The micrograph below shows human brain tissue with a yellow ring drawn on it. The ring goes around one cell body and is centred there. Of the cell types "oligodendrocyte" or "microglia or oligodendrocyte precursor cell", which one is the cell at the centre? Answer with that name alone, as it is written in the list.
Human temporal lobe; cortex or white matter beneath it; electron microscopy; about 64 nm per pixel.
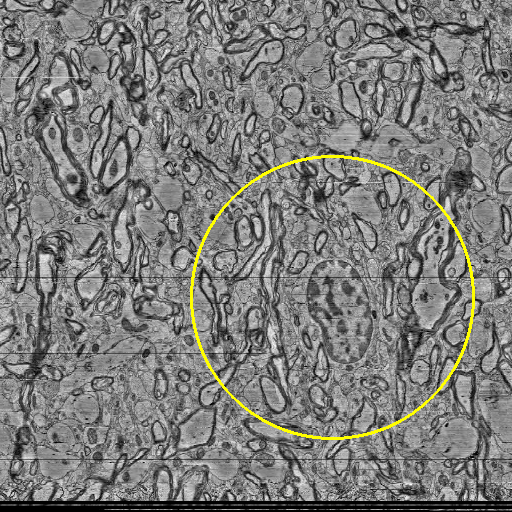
microglia or oligodendrocyte precursor cell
